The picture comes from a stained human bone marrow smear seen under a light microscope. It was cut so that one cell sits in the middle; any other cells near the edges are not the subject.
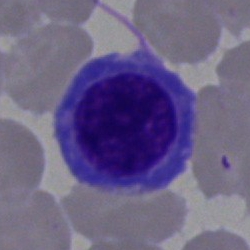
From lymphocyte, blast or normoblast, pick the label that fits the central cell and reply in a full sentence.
Standing at the centre of this crop is a normoblast.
